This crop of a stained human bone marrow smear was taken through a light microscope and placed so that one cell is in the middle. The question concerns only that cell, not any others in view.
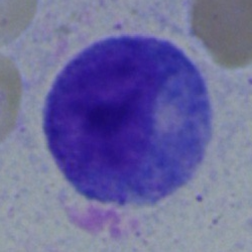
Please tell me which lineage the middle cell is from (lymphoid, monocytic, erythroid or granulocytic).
granulocytic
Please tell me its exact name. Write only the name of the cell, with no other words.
promyelocyte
